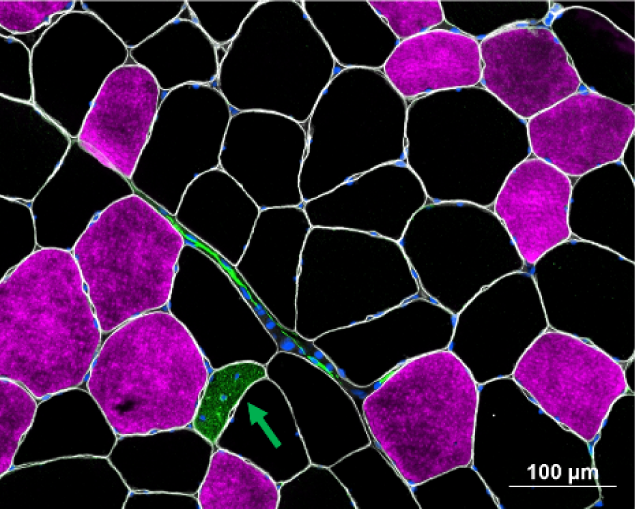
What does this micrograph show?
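Cross-section of skeletal muscle showing closely packed polygonal myofibers, each outlined by a thin grey-white border, with small blue nuclei lying at the fiber edges. Some fibers are filled with magenta while others stay black, forming a mosaic. A small, angular fiber in the lower centre, marked by a green arrow, is filled with granular green. A narrow band of connective tissue runs diagonally across the field, carrying elongated blue nuclei and some green along its course. Fiber sizes vary, with the magenta fibers here among the largest.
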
